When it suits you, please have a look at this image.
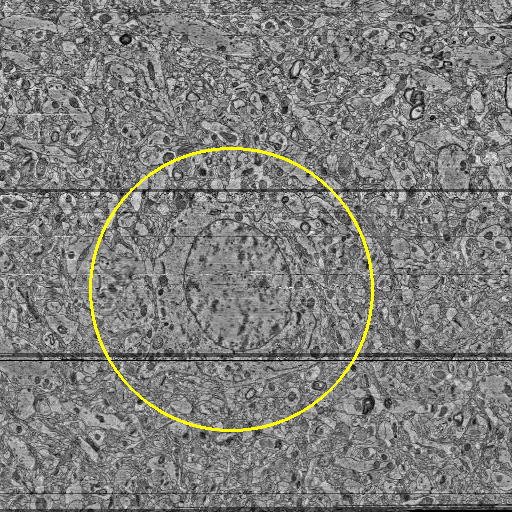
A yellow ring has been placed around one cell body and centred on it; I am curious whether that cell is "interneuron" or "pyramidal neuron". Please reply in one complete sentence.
The ringed cell, a pyramidal neuron, has its body at the centre of the yellow ring.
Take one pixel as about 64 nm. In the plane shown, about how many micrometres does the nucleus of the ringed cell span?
The nucleus works out at approximately 10 by 7 micrometres in this plane.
